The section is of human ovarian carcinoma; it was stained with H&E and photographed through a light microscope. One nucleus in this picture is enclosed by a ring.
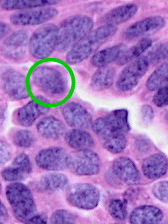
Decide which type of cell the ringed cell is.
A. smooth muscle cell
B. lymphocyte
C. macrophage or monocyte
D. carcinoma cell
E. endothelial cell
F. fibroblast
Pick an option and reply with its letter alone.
D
